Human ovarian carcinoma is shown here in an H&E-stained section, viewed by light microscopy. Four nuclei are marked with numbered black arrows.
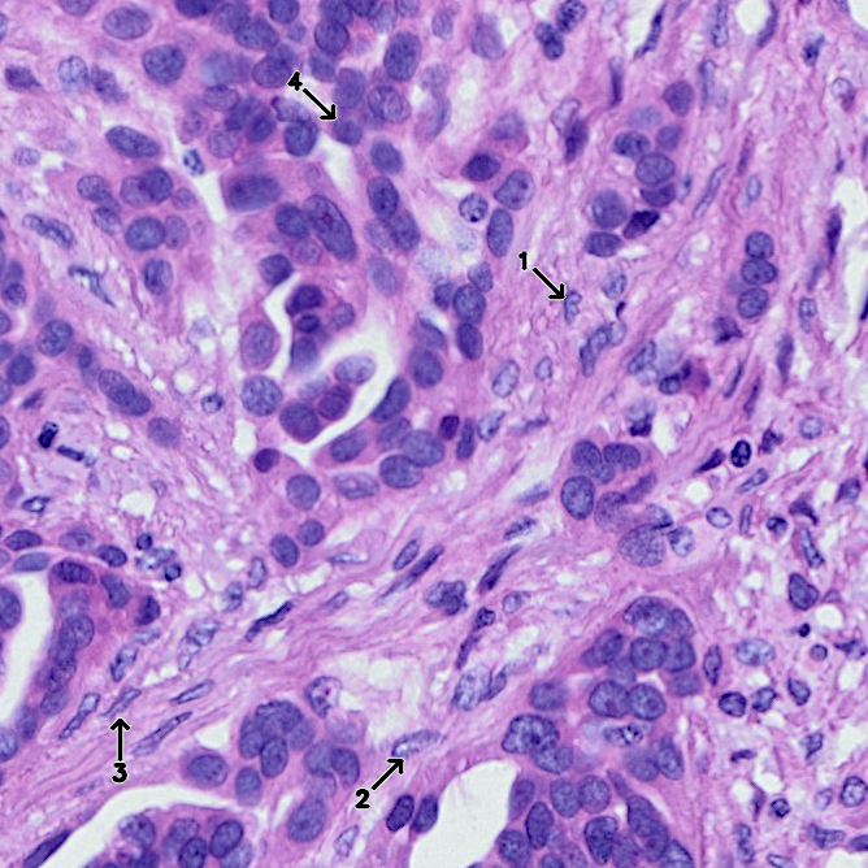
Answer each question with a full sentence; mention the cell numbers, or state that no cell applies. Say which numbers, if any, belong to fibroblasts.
Into the category of fibroblasts fall the cells numbered 1, 2 and 3.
